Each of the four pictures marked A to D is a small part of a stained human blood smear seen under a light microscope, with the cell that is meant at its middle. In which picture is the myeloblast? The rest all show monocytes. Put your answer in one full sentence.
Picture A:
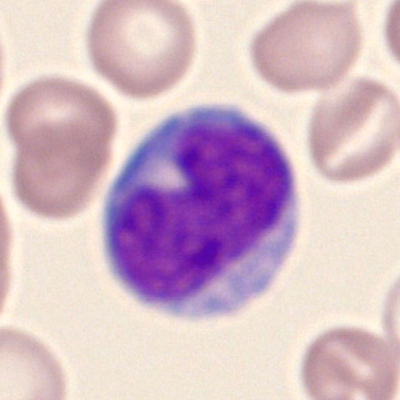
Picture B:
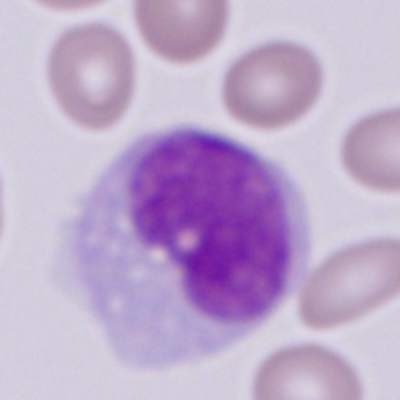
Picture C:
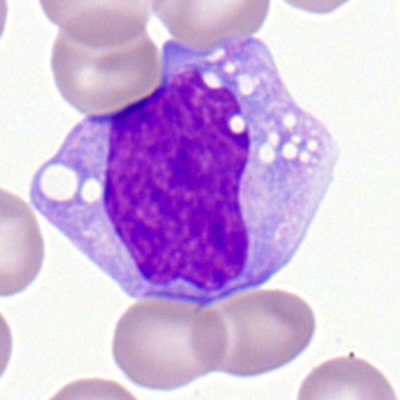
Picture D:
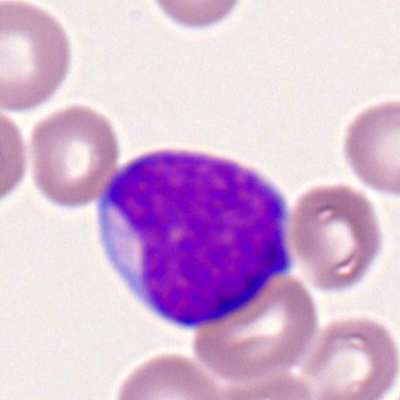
The myeloblast is the one in picture D.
